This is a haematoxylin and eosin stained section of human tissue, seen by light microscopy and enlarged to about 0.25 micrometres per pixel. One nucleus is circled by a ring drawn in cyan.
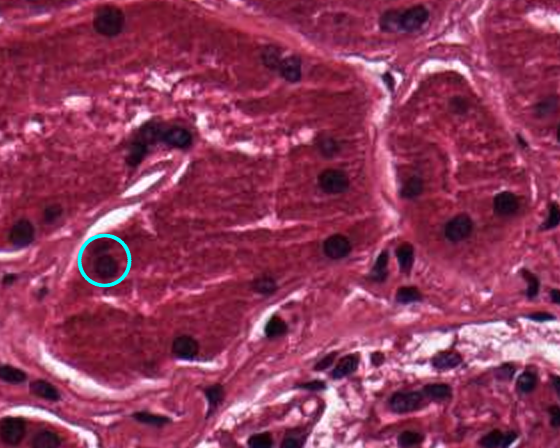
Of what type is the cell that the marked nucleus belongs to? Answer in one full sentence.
As shown, the marked nucleus belongs to a proximal tubule cell.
